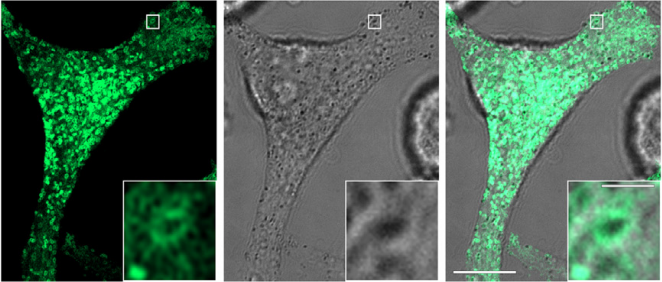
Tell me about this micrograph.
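Green label fills the cytoplasm as a dense meshwork of small rings and puncta. In brightfield the cytoplasm is studded with many small dark granules of pigment, and a rounded nucleus-like region sits centrally. The magnified inset shows a dark pigment granule encircled by a thin green ring, the label lying on the membrane around the pigment rather than within it.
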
